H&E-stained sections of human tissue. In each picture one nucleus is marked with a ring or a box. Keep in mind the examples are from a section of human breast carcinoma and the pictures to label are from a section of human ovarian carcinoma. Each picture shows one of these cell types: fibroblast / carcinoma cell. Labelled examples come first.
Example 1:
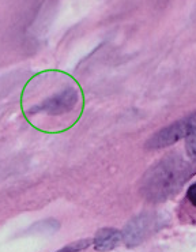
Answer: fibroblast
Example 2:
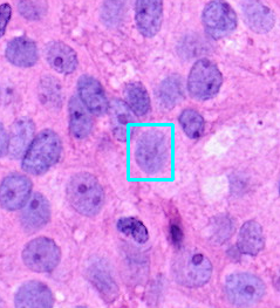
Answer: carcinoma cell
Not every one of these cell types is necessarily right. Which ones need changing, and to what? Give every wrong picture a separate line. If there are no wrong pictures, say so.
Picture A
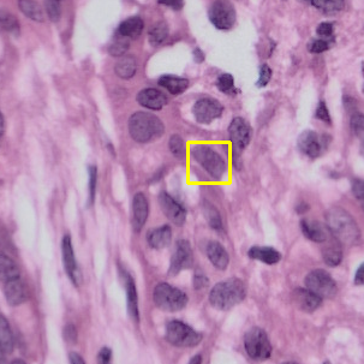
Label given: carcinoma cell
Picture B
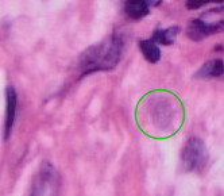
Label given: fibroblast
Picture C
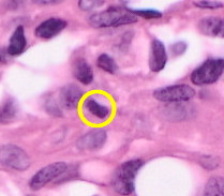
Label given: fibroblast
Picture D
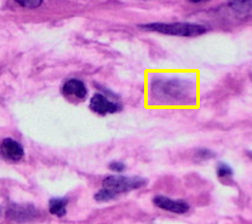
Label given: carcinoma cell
Wrong: C (fibroblast); correct: carcinoma cell
Wrong: D (carcinoma cell); correct: fibroblast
